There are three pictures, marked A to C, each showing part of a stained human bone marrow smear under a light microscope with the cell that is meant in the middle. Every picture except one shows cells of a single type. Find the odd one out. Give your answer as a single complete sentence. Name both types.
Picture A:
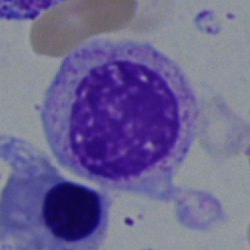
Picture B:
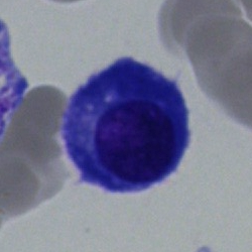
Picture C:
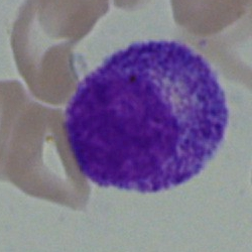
Picture B differs, because its cell is a plasma cell and the rest are myelocytes.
